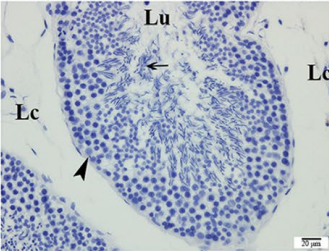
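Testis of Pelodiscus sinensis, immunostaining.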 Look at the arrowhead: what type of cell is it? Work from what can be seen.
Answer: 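The marked cells lie at the periphery of the tubule. Round nuclei form the outermost cell layer. That points to this answer: Spermatogonia.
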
